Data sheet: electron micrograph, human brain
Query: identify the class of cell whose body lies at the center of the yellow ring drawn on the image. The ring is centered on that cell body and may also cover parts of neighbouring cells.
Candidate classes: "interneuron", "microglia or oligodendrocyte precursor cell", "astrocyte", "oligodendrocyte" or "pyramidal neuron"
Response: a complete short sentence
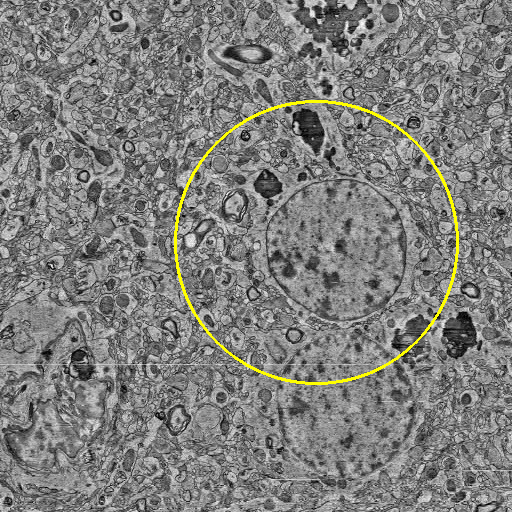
At the center of the ring lies an astrocyte.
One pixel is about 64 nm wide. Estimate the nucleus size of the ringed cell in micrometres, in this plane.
The nucleus comes to roughly 9 micrometres across in this plane.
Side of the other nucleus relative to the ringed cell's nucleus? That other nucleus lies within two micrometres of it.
That other nucleus sits below it.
